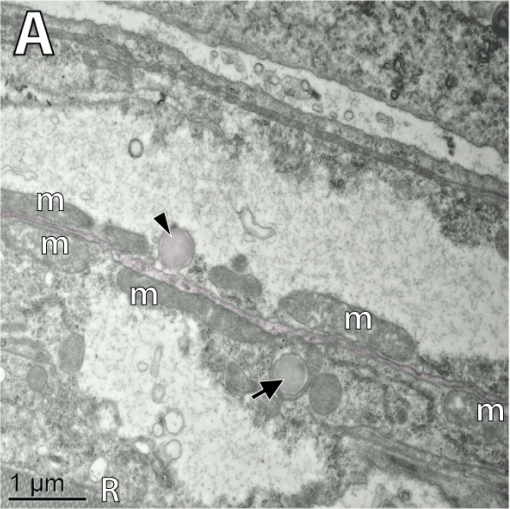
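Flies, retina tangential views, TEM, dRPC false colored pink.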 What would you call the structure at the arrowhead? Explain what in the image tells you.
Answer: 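A small round pale-pink vesicle bulges from the pink cell. The vesicle sits at an indentation of the neighbouring cell's membrane.
Conclusion: lipid droplet-like vesicles entering an endocytotic invagination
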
